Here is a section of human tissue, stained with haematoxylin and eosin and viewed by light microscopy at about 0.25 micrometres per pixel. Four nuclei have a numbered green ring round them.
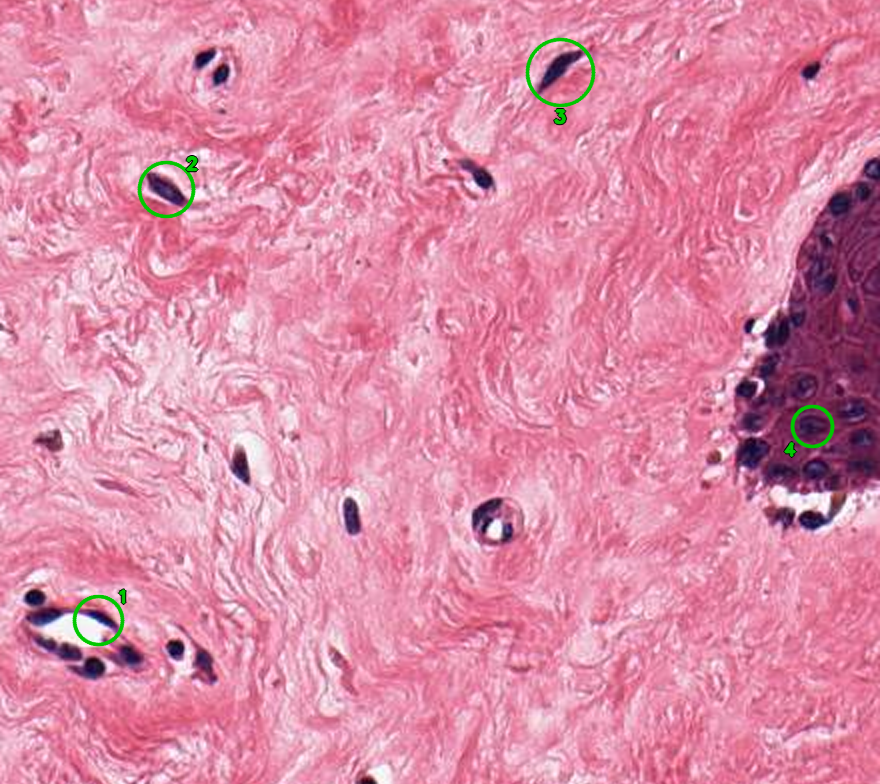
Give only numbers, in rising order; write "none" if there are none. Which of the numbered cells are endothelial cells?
1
